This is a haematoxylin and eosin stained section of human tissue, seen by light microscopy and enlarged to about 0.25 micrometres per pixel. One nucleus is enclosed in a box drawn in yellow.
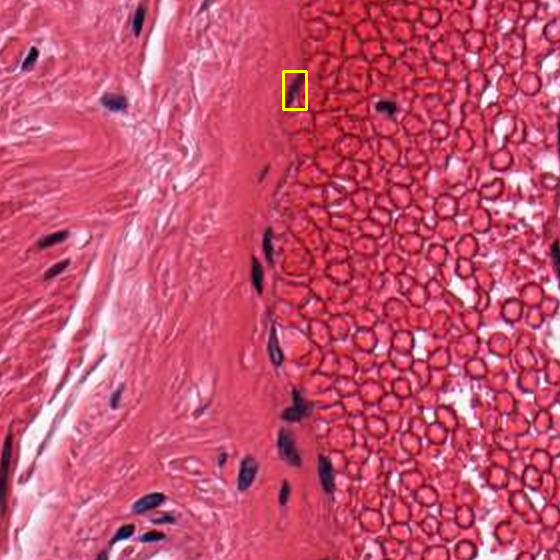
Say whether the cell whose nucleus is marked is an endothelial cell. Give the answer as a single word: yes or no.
yes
